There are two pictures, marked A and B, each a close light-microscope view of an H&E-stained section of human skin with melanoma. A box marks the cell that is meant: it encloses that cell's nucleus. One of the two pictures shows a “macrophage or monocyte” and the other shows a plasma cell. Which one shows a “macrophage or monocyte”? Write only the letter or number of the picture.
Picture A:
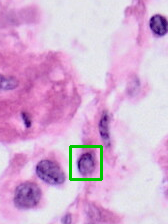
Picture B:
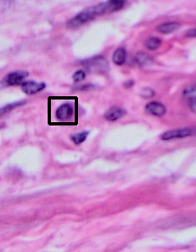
A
